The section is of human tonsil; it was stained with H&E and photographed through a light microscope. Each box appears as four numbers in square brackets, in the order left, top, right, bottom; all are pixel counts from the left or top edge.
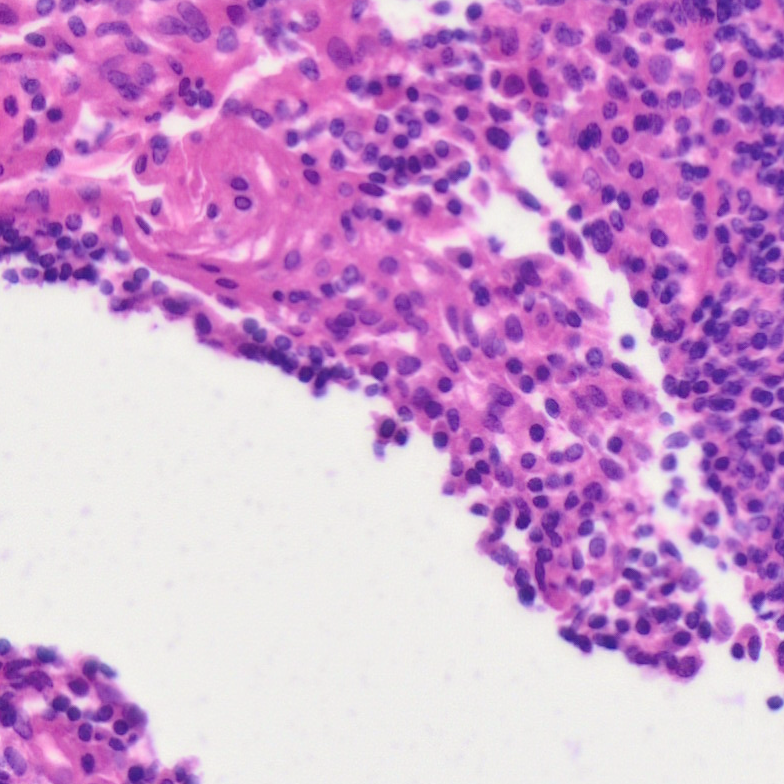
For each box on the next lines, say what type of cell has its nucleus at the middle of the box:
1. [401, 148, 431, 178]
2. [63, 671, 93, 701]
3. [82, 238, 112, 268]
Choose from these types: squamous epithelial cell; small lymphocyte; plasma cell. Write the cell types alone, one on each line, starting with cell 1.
plasma cell
squamous epithelial cell
small lymphocyte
